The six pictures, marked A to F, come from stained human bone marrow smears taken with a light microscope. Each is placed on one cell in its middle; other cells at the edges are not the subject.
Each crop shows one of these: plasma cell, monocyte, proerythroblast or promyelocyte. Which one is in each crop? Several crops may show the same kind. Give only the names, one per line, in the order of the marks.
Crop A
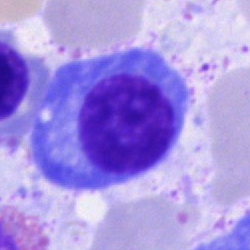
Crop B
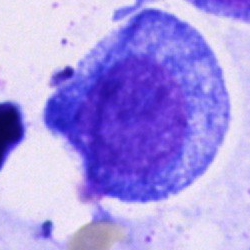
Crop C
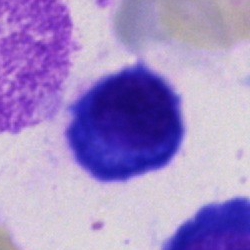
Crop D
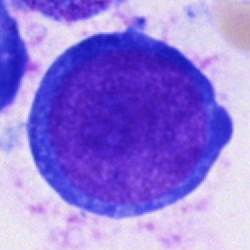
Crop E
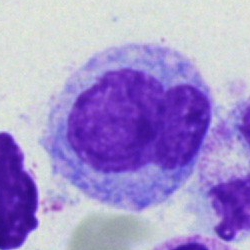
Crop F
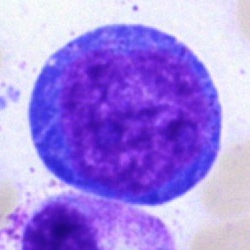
plasma cell
promyelocyte
plasma cell
proerythroblast
monocyte
proerythroblast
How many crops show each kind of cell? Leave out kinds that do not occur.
plasma cell: 2
proerythroblast: 2
promyelocyte: 1
monocyte: 1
